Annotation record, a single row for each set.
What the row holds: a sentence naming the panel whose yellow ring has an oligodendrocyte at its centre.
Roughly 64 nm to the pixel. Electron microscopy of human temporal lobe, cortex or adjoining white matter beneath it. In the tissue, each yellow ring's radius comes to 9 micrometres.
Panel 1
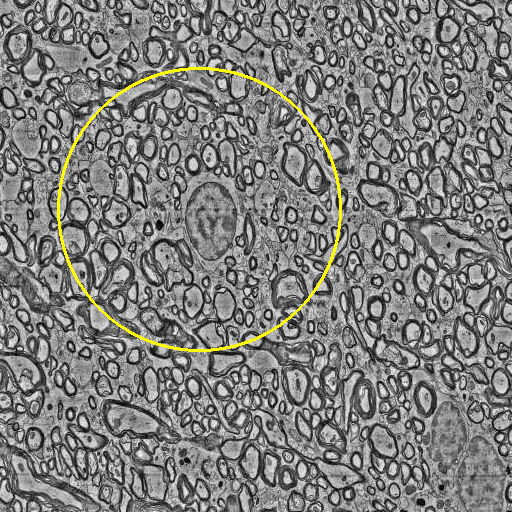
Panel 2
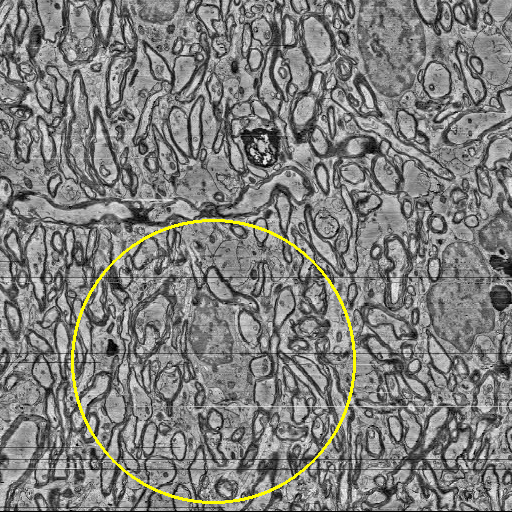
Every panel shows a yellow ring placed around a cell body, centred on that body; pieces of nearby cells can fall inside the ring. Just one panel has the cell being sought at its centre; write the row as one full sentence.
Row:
In panel 2, the cell at the middle of the yellow ring is the one sought.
